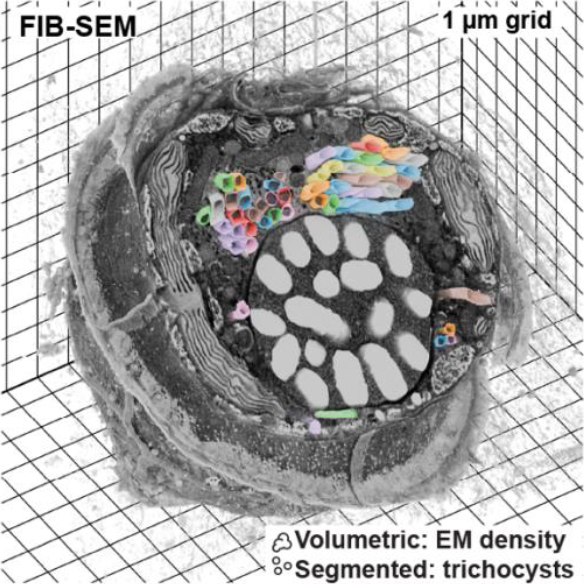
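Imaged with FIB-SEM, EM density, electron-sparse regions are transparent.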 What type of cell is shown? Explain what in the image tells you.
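A large central rounded compartment holds many pale oval bodies. Clusters of short tubular bodies lie beneath the covering. The answer: dinoflagellate cell.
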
